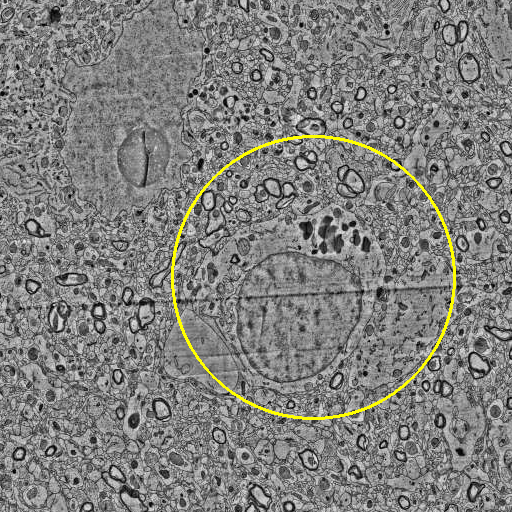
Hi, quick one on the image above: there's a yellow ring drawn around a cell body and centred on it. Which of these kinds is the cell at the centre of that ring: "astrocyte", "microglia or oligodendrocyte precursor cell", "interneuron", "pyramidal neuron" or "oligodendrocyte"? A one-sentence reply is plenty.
The cell at the centre of the ring is an interneuron.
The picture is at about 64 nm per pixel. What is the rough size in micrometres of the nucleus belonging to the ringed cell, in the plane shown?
Roughly 8 micrometres across, measured in this plane.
